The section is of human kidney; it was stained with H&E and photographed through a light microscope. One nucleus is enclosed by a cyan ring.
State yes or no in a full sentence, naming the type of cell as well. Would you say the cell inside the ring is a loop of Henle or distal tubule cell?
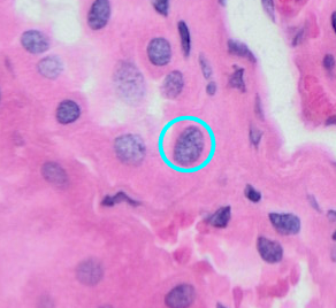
Yes, the cell inside the ring has been classified as a loop of Henle or distal tubule cell.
